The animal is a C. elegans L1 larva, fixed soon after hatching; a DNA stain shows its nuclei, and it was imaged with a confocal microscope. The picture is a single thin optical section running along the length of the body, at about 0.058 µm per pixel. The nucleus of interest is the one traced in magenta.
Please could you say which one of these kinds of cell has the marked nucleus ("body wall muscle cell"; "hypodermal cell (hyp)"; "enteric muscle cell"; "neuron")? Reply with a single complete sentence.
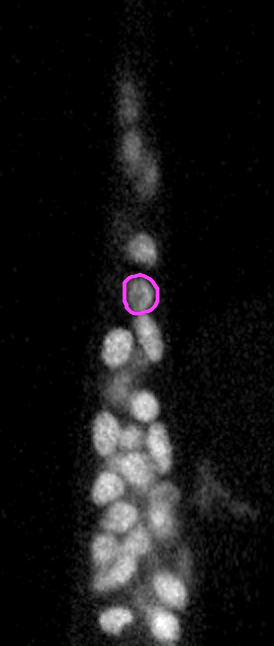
The cell with the marked nucleus is a hypodermal cell (hyp).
